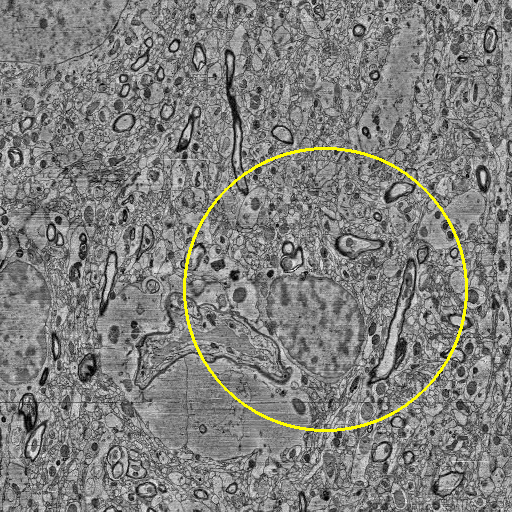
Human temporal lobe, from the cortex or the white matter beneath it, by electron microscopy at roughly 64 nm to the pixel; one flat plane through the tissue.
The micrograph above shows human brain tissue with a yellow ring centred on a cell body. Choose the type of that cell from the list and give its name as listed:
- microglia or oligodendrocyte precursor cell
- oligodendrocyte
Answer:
oligodendrocyte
